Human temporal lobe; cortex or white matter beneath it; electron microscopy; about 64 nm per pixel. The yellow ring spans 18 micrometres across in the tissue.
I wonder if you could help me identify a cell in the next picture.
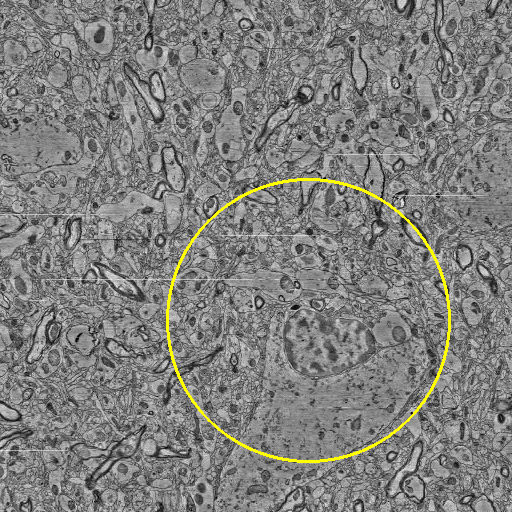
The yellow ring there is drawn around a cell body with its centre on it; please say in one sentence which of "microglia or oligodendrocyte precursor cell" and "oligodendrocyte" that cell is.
The yellow ring is centred on a microglial cell or oligodendrocyte precursor cell.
